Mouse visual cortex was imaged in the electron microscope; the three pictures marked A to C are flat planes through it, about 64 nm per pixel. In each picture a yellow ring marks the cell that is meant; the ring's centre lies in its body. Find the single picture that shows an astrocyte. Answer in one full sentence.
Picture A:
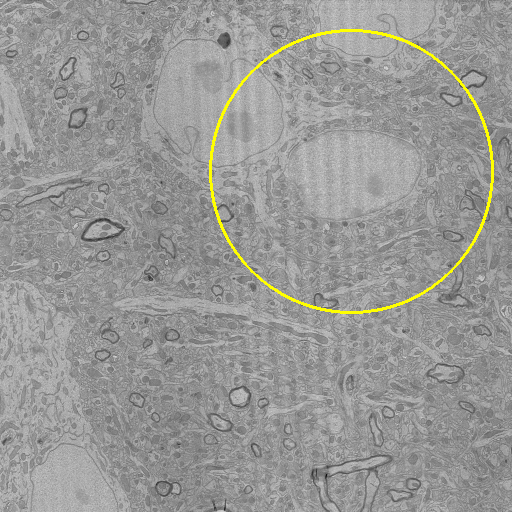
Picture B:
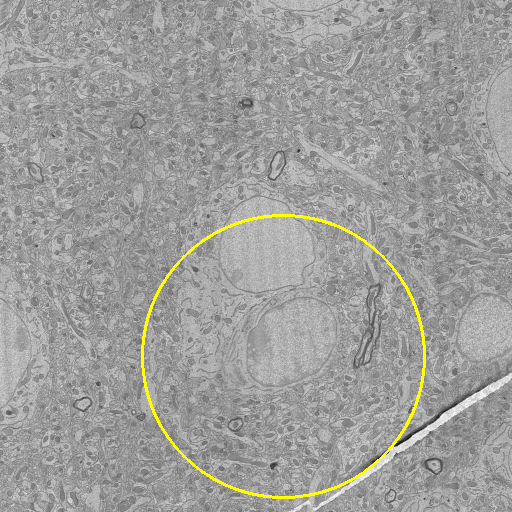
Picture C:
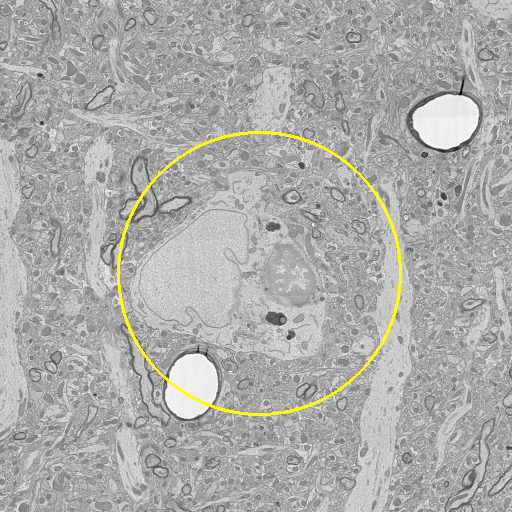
It is picture A that shows the astrocyte.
